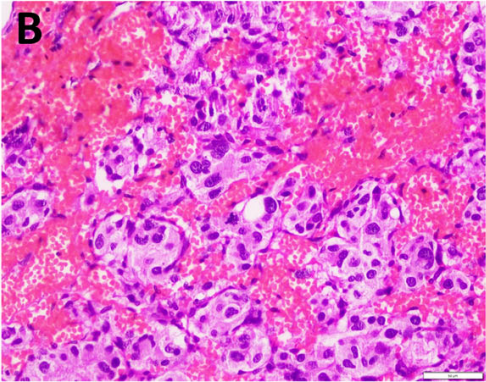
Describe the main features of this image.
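Nests of large tumor cells with pale, granular pink cytoplasm are set among abundant red blood cells. The nests are rimmed by small, flattened cells with dark elongated nuclei.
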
